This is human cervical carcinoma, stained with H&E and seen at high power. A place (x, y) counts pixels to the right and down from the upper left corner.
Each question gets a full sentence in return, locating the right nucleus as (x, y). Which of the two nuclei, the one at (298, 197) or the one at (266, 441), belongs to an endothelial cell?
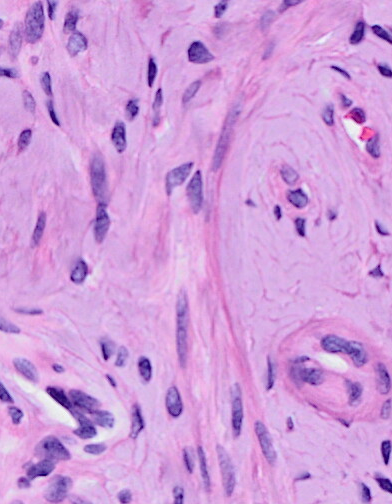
As for which of the two, the nucleus at (298, 197) belongs to an endothelial cell.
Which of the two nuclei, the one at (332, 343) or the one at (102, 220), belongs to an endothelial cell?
The nucleus at (332, 343) is housed in an endothelial cell.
